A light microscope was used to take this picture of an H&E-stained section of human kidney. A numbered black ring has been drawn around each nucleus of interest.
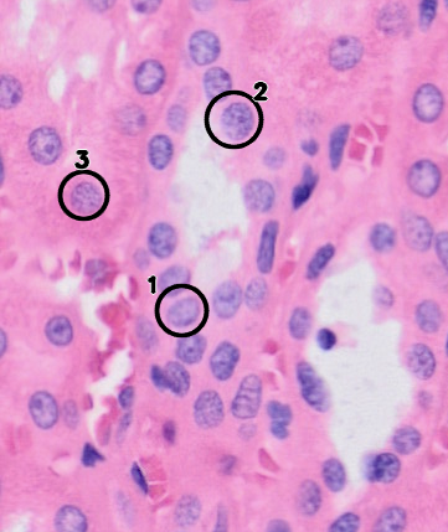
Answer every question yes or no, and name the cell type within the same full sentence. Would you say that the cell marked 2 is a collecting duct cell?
Yes, so the cell at label 2 is a collecting duct cell.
